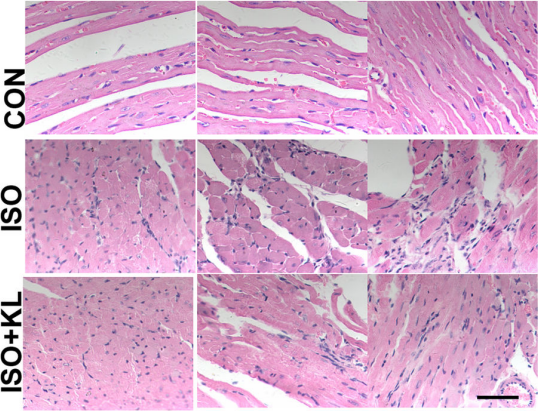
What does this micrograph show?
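Nine fields of heart muscle stained pink, with fibers cut along their length or obliquely and dark purple elongated nuclei within them. In the upper row the fibers are regular and parallel with sparse nuclei, while several lower fields show fibers that are less orderly and more crowded small dark nuclei between them.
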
